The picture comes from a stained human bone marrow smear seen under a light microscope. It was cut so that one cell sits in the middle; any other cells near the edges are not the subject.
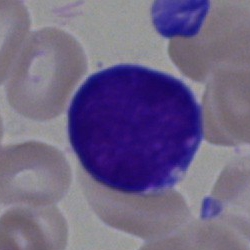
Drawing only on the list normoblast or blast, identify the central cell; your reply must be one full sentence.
Answering briefly, the cell in the middle is a blast.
